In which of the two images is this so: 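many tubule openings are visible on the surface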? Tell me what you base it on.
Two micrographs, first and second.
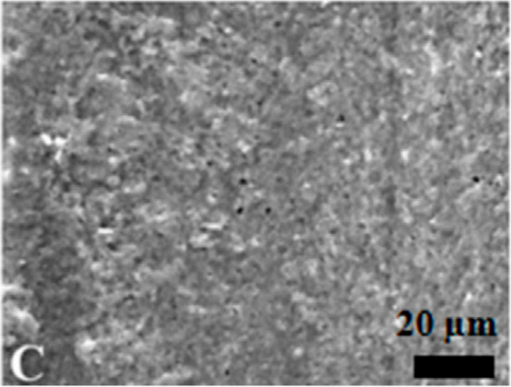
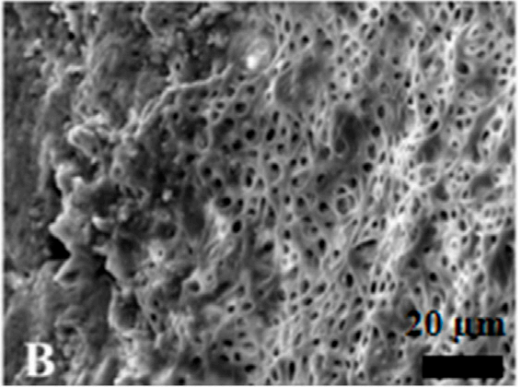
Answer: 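First image: the surface is a grainy, mostly continuous layer with only a few tiny dark dots. Second image: numerous round dark openings are scattered densely across the surface.
Hence: the second image.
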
